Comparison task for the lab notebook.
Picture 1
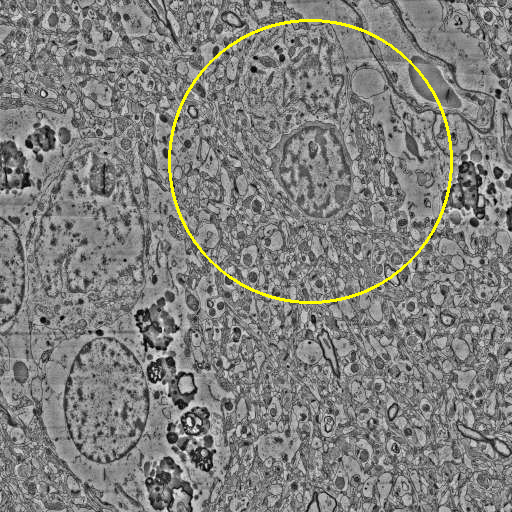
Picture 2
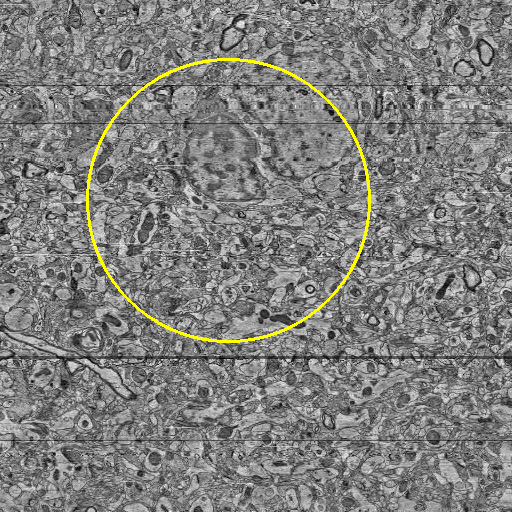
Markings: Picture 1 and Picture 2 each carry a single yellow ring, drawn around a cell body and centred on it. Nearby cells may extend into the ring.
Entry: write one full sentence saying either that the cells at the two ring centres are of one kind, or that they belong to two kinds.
The cells sitting at the ring centres in Picture 1 and Picture 2 are of one kind.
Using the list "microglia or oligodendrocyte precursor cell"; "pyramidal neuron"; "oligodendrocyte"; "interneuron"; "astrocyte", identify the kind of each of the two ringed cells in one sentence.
The second cell is an oligodendrocyte, just as the first is.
